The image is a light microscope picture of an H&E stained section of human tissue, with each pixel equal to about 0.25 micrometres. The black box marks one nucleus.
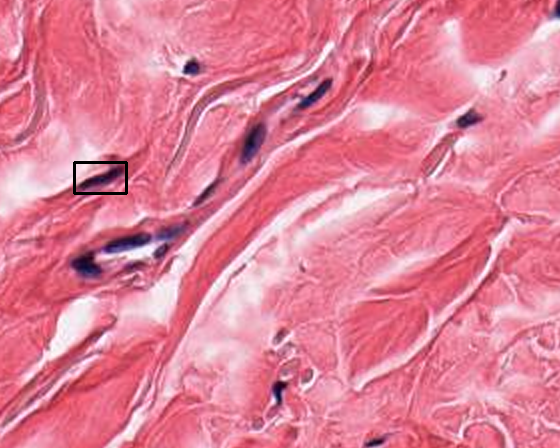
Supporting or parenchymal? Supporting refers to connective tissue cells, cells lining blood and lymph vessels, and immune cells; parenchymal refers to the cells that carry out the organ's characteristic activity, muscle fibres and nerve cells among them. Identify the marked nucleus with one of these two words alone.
supporting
